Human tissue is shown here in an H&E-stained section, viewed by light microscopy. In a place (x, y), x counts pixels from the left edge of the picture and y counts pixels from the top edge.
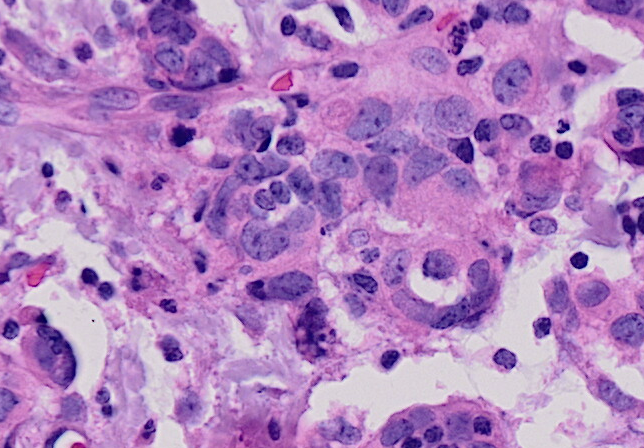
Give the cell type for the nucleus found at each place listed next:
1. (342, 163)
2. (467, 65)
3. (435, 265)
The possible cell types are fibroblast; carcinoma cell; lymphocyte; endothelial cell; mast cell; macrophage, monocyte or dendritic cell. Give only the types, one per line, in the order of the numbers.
carcinoma cell
lymphocyte
carcinoma cell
